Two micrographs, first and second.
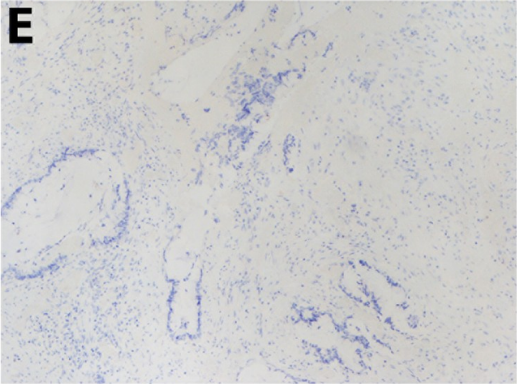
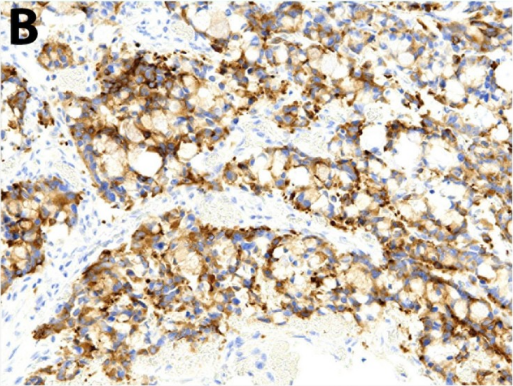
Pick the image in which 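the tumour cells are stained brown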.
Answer: The second image.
